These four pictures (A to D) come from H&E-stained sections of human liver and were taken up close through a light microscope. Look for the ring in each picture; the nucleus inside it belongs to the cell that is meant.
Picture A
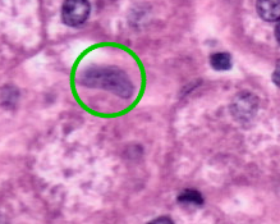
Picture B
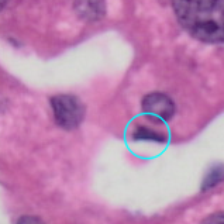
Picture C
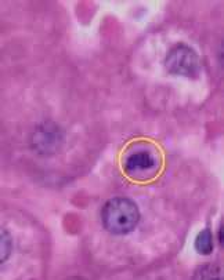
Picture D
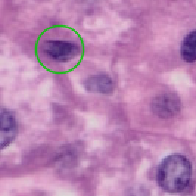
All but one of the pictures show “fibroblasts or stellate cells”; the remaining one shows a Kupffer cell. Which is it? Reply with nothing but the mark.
A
